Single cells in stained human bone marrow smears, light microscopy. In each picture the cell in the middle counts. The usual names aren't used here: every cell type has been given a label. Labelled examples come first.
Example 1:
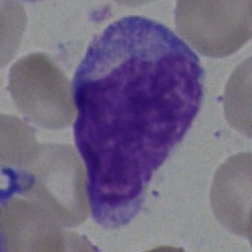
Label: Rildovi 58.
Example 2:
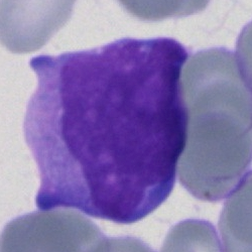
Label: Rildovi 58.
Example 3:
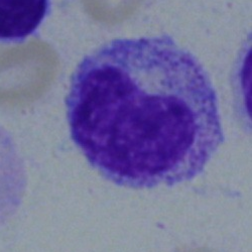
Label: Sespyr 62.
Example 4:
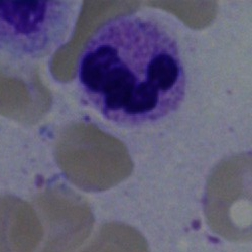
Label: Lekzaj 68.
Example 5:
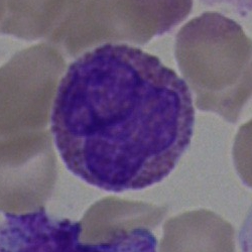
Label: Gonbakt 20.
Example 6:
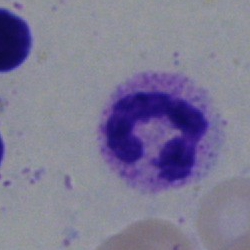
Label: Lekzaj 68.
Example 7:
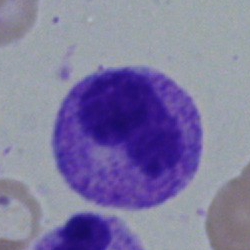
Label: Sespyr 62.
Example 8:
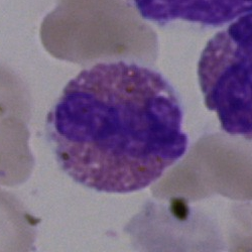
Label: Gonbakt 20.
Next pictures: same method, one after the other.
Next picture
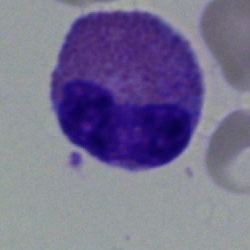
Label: Gonbakt 20.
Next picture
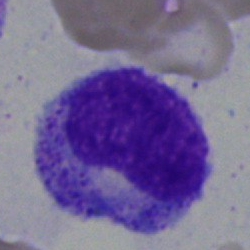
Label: Sespyr 62.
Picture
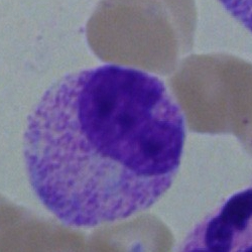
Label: Sespyr 62.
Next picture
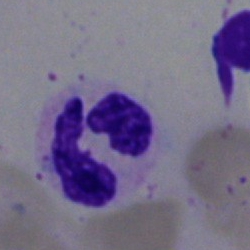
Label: Lekzaj 68.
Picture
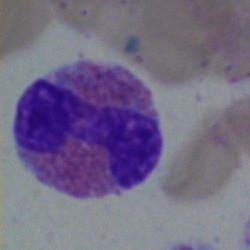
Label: Gonbakt 20.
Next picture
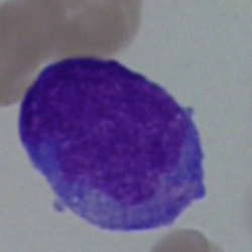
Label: Rildovi 58.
